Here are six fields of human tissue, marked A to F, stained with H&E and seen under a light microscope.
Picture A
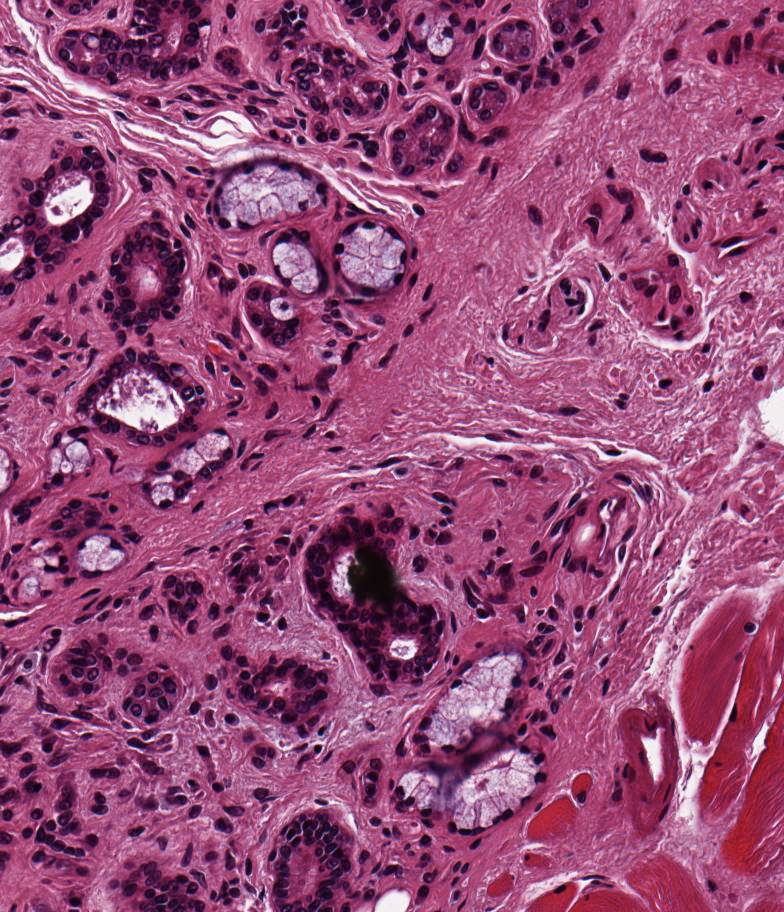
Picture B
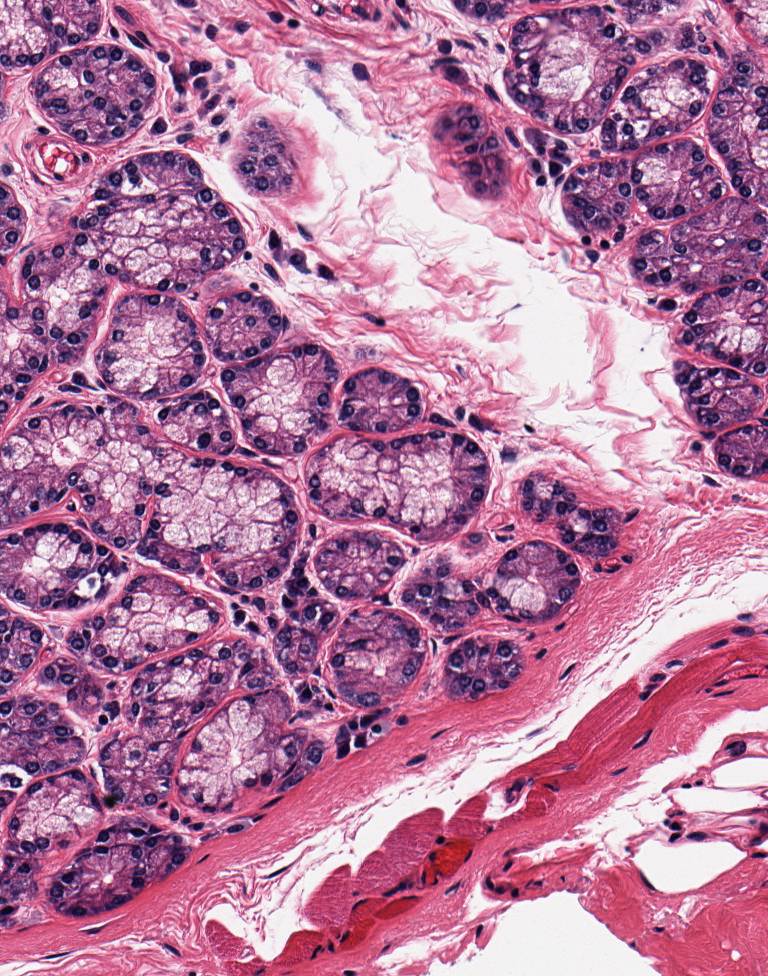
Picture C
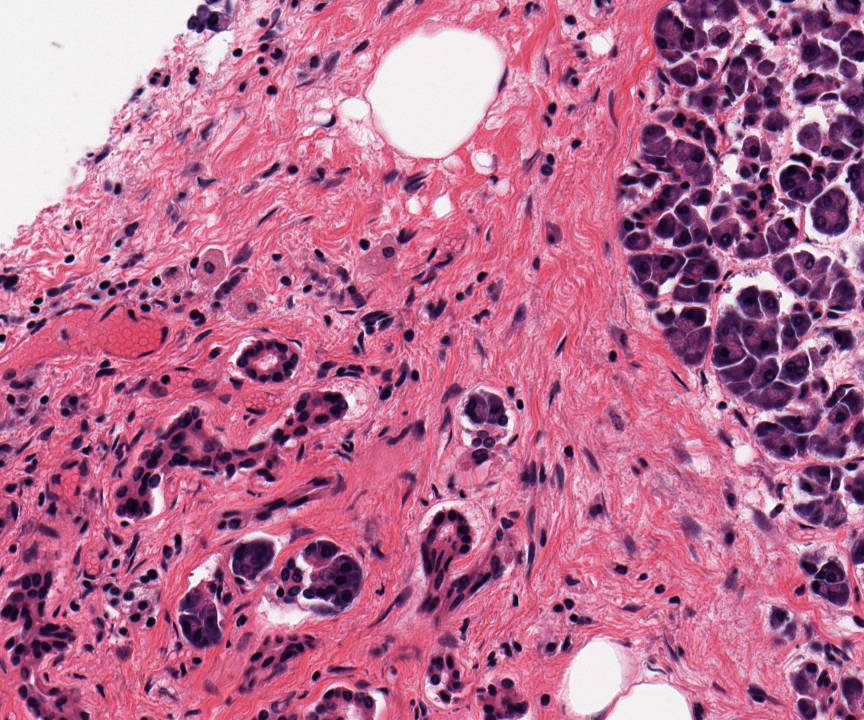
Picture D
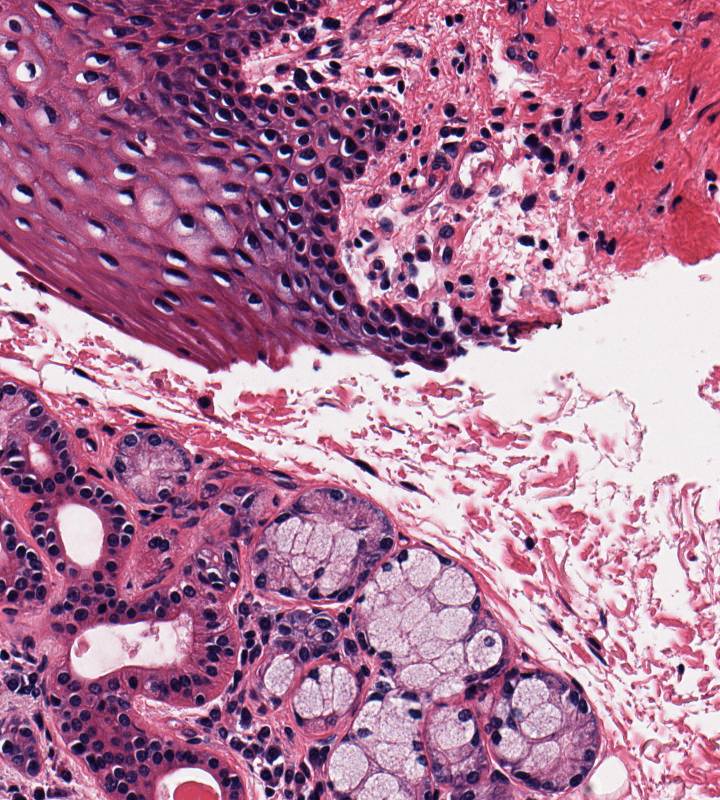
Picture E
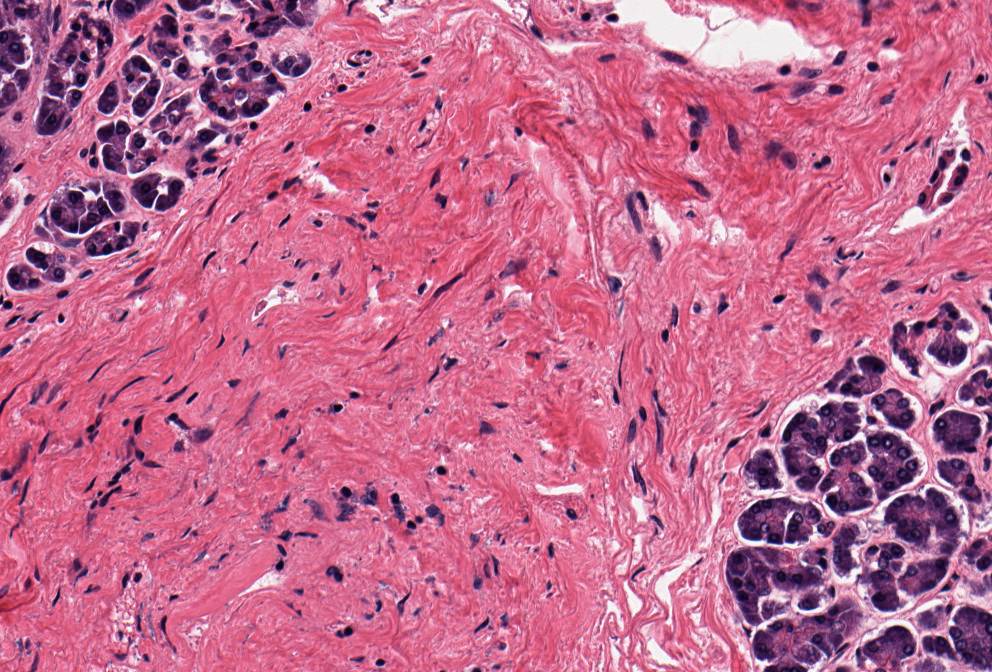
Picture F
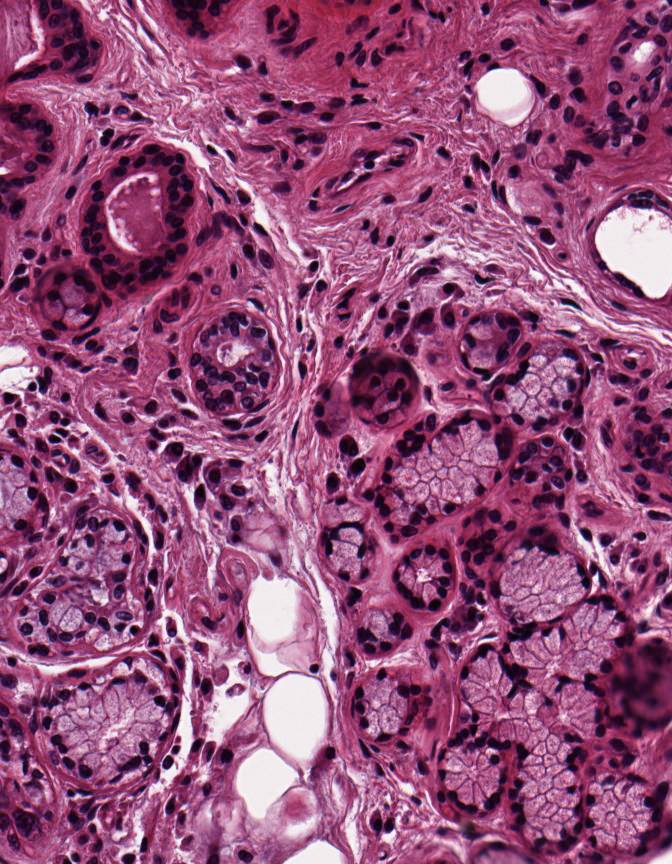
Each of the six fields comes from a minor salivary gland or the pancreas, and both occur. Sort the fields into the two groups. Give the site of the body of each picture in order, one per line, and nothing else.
minor salivary gland
minor salivary gland
pancreas
minor salivary gland
pancreas
minor salivary gland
